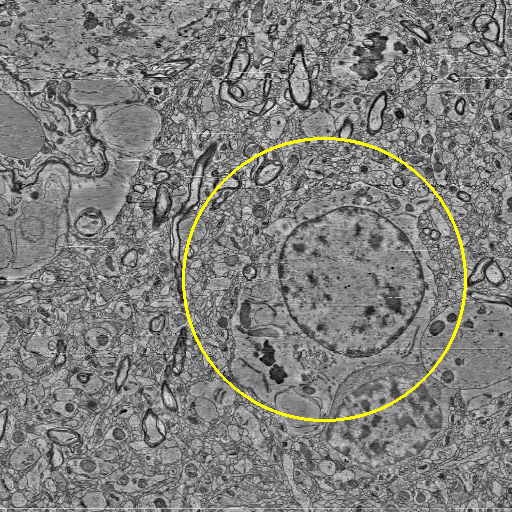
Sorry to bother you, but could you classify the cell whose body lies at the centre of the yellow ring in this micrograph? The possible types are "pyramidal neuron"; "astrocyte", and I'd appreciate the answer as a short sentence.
The ringed cell body is that of an astrocyte.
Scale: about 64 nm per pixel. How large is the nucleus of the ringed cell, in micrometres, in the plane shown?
About 9 micrometres across in this plane.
